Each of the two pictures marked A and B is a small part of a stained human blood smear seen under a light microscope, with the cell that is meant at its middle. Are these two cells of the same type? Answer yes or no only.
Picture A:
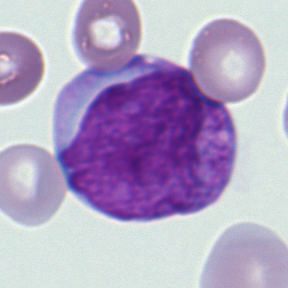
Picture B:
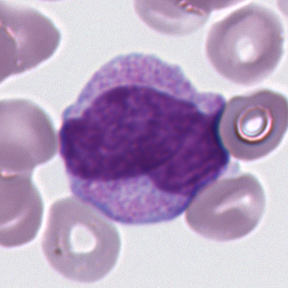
yes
